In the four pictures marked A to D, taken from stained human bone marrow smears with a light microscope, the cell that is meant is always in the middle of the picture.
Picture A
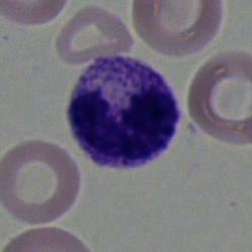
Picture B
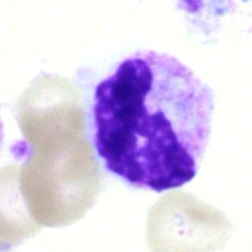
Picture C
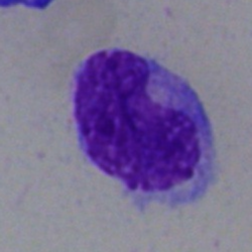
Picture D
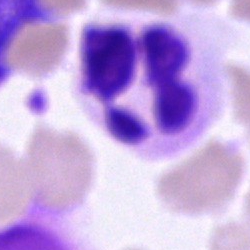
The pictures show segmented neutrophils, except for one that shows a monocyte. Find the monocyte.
C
